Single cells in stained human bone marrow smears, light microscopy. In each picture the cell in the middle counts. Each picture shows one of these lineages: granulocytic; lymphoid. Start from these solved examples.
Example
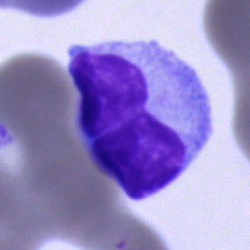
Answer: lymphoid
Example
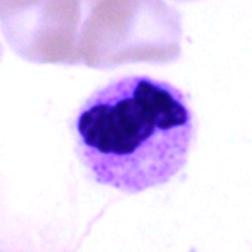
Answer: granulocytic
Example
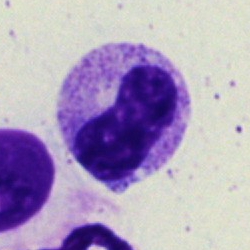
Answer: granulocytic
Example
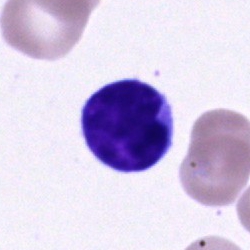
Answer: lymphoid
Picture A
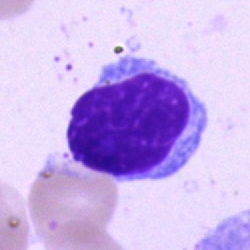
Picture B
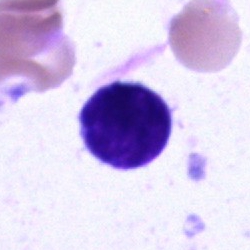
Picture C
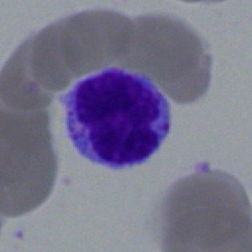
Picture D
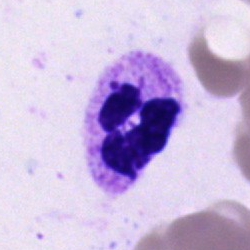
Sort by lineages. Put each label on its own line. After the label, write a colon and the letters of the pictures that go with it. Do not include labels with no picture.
granulocytic: D
lymphoid: A, B, C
